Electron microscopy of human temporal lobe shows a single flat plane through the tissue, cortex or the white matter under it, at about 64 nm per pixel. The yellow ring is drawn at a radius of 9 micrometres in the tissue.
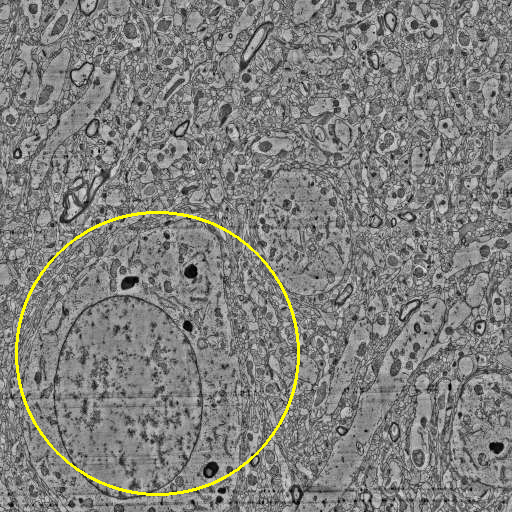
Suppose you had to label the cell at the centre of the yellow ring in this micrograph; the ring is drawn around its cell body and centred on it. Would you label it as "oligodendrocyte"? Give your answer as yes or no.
No, I would label it as another kind.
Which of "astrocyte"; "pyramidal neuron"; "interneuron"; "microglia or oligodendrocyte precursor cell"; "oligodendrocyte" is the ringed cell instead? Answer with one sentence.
So the cell at the centre is a pyramidal neuron.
